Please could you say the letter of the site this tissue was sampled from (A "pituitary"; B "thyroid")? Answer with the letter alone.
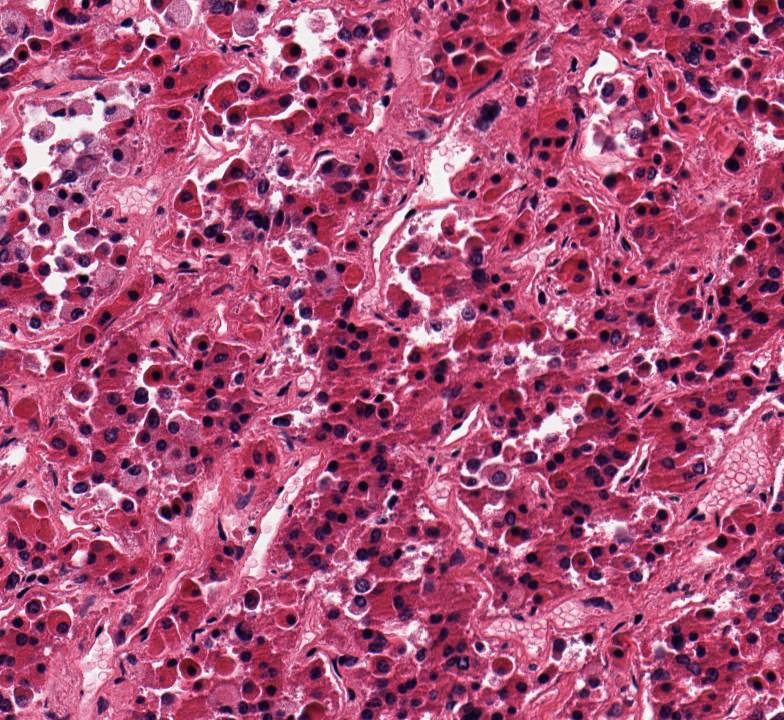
A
